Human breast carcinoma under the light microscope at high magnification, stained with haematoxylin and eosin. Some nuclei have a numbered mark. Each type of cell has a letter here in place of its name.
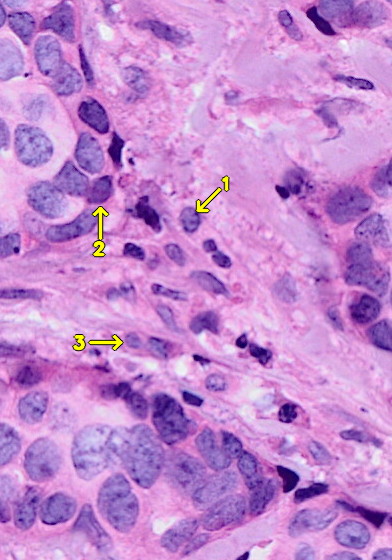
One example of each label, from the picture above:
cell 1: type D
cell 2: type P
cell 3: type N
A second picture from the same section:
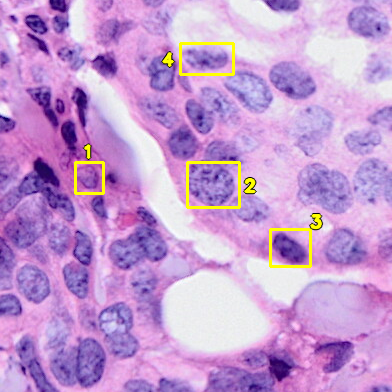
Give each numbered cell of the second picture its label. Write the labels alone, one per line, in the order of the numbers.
type N
type P
type P
type P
